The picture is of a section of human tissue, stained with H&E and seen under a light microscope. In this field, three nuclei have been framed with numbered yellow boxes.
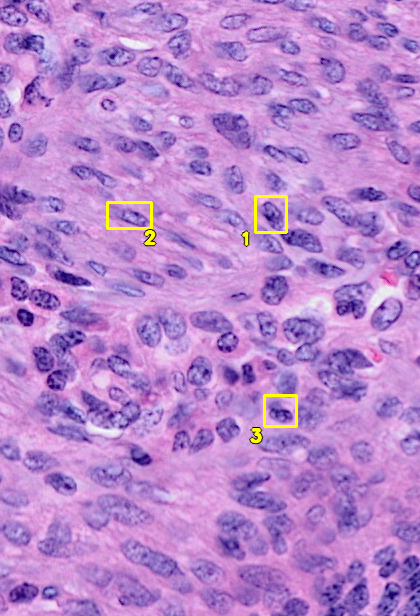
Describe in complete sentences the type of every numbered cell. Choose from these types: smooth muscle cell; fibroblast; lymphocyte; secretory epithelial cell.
Cells 1 and 3 are lymphocytes. Cell 2 is a smooth muscle cell.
